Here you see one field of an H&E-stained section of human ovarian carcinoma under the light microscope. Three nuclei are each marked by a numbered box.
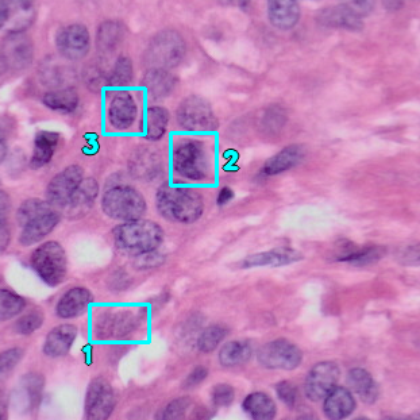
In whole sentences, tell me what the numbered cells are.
Cells 1 and 2 are carcinoma cells. Cell 3 is a macrophage or monocyte.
